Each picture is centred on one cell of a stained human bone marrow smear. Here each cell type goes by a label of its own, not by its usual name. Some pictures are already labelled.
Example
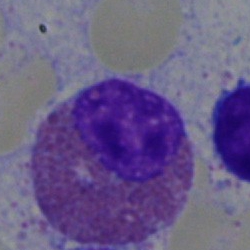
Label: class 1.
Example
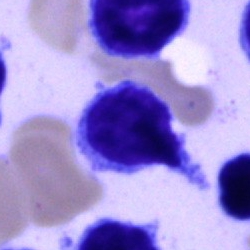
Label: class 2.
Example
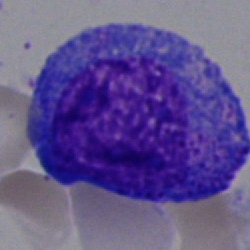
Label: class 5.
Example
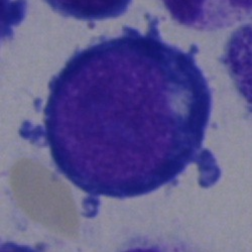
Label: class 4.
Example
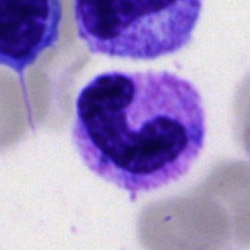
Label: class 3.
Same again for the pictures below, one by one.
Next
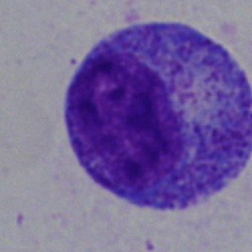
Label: class 5.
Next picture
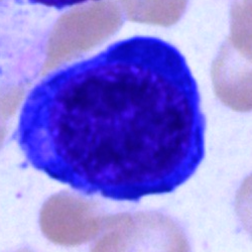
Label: class 4.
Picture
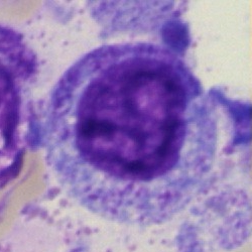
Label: class 5.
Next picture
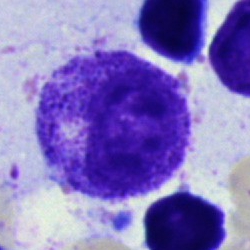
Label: class 5.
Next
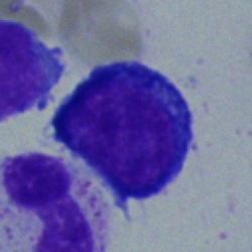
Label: class 4.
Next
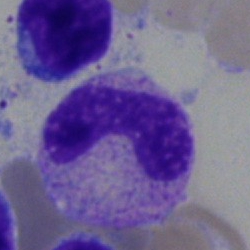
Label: class 3.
